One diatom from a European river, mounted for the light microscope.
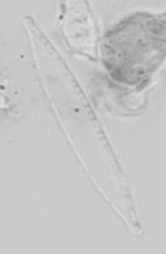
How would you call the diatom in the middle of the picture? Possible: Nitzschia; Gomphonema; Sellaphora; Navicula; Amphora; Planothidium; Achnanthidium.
I would call it Nitzschia.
